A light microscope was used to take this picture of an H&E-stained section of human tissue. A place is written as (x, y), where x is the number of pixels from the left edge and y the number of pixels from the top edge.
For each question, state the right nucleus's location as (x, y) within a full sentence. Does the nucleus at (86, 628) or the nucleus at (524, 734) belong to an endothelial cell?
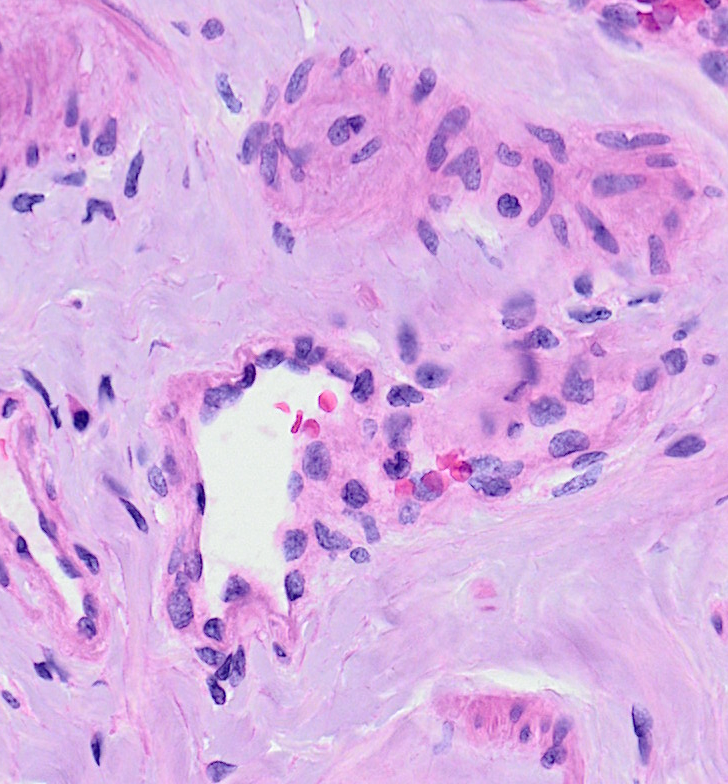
The nucleus at (86, 628) is contained in an endothelial cell.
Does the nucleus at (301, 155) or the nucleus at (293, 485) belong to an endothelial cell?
Located at (293, 485), this nucleus is the one belonging to an endothelial cell.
